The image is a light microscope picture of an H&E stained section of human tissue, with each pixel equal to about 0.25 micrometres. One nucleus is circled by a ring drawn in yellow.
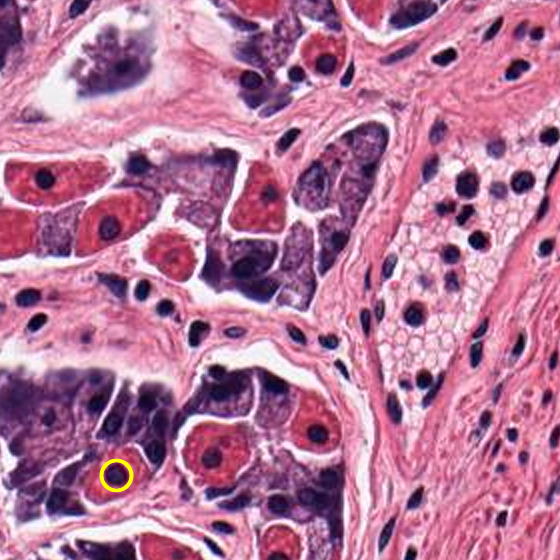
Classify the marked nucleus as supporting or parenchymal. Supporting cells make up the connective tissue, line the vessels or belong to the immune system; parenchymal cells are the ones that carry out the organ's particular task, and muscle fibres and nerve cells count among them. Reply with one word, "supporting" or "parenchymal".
parenchymal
